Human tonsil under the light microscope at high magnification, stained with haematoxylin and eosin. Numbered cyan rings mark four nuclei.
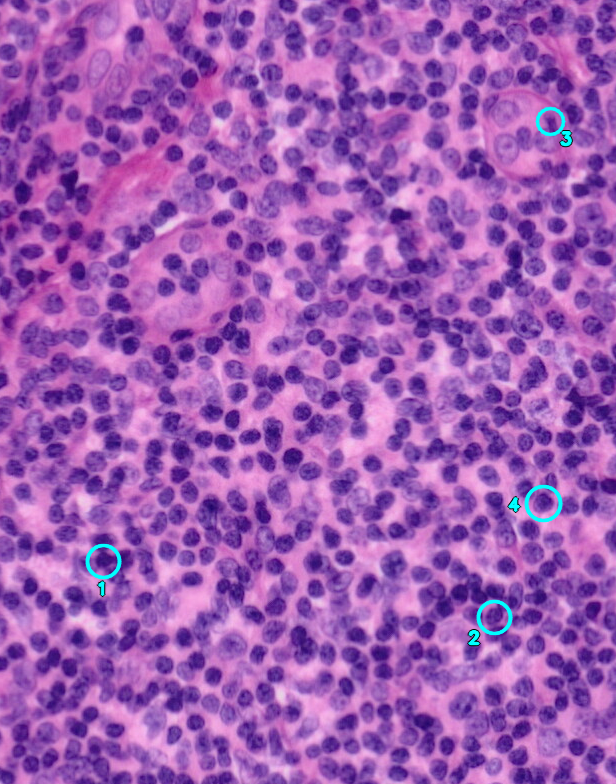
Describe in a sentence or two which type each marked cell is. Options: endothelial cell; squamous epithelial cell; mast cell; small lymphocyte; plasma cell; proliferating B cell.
Cell 1 is a small lymphocyte, cell 2 is a small lymphocyte, cell 3 is an endothelial cell and cell 4 is a small lymphocyte.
